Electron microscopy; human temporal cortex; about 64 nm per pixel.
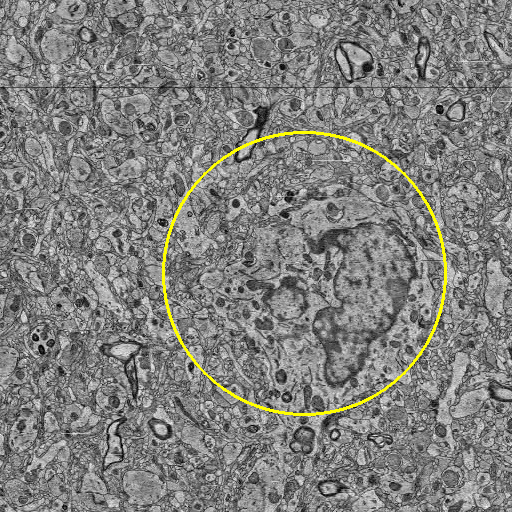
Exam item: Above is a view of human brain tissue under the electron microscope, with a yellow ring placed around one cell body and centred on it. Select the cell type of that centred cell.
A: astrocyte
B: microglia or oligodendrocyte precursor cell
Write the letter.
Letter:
B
